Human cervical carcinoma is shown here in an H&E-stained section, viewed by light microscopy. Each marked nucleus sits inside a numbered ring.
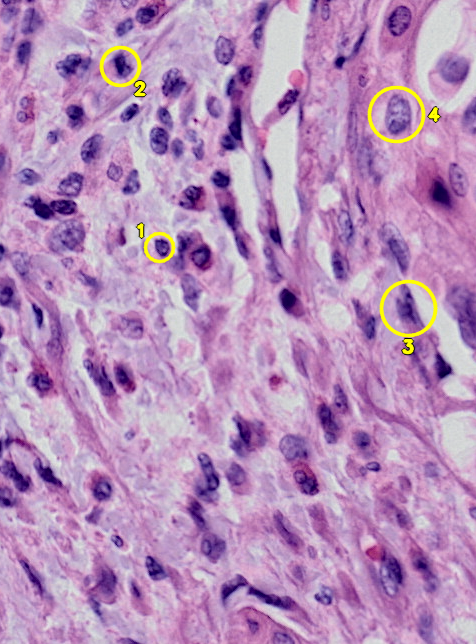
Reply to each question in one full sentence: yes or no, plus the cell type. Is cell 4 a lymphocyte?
No, the cell with the number 4 is a squamous carcinoma cell, not a lymphocyte.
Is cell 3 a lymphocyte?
No, cell 3 does not represent a lymphocyte; it represents a macrophage or monocyte.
